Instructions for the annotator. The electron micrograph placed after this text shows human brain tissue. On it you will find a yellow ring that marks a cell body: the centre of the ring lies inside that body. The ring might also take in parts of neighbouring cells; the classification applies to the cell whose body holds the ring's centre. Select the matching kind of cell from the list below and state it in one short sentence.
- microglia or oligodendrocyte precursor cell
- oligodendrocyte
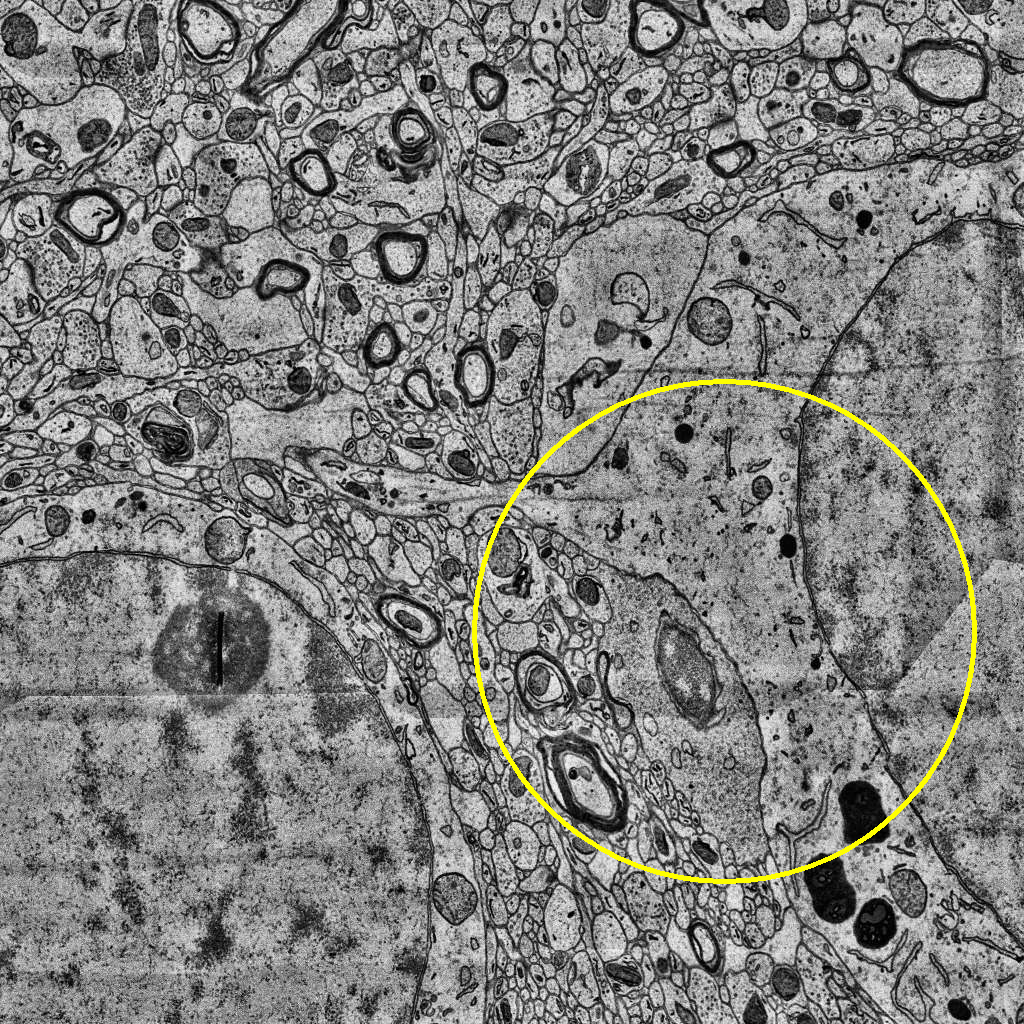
The centre of the ring lies in the cell body of an oligodendrocyte.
